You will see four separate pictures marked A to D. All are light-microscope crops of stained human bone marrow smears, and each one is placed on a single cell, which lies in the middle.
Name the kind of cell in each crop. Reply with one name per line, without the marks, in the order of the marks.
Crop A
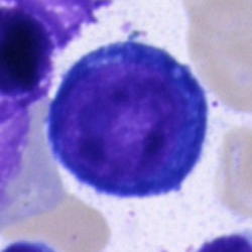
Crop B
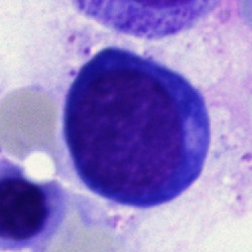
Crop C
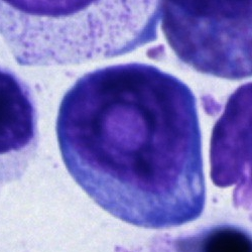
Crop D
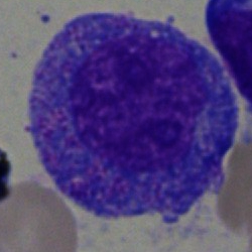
proerythroblast
proerythroblast
proerythroblast
promyelocyte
